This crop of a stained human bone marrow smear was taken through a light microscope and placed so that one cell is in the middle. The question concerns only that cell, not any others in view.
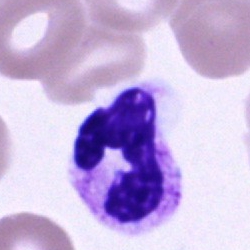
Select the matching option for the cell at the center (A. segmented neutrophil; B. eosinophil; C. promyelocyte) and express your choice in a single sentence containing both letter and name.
The one cell at the centre is a segmented neutrophil, as correctly stated in option A.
